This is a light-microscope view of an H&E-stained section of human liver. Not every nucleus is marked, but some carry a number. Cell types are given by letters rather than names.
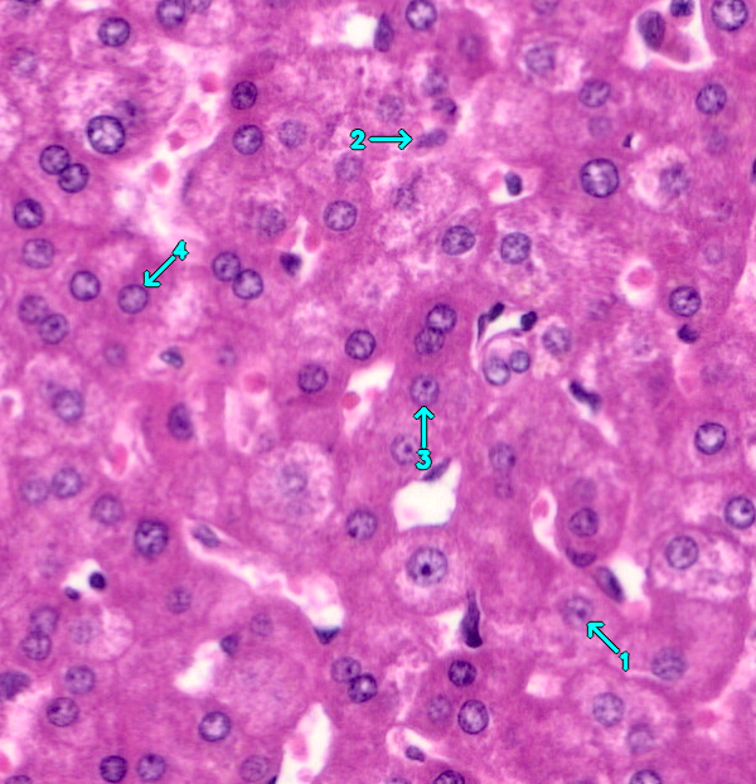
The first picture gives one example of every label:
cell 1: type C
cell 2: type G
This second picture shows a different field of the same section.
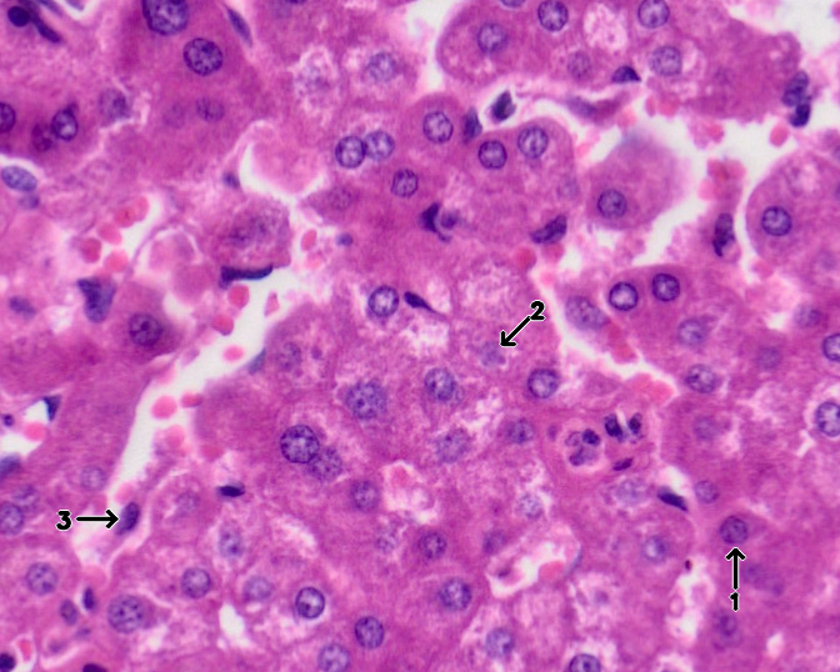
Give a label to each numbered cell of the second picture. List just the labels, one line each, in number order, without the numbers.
type C
type C
type G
